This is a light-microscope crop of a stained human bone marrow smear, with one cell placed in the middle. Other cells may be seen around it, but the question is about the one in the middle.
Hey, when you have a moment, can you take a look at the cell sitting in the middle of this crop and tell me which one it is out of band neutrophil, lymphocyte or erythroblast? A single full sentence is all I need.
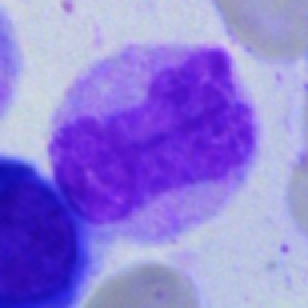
Located at the centre of the crop is a band neutrophil.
